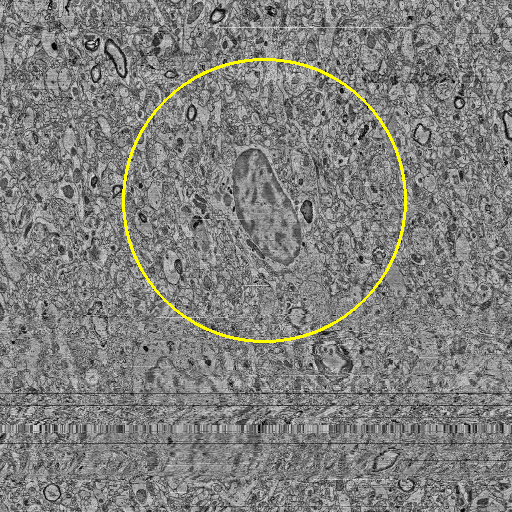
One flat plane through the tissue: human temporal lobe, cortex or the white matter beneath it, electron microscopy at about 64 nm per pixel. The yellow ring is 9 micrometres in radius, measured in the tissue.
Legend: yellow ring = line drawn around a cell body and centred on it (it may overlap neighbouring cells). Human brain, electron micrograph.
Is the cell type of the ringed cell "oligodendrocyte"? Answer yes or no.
no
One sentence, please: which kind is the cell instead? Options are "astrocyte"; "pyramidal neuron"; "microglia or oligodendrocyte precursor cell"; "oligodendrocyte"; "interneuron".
The cell at the ring centre is a microglial cell or oligodendrocyte precursor cell.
